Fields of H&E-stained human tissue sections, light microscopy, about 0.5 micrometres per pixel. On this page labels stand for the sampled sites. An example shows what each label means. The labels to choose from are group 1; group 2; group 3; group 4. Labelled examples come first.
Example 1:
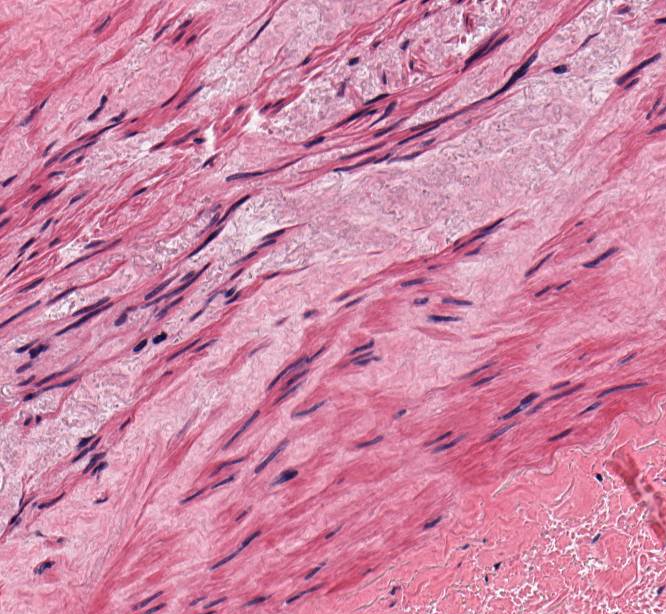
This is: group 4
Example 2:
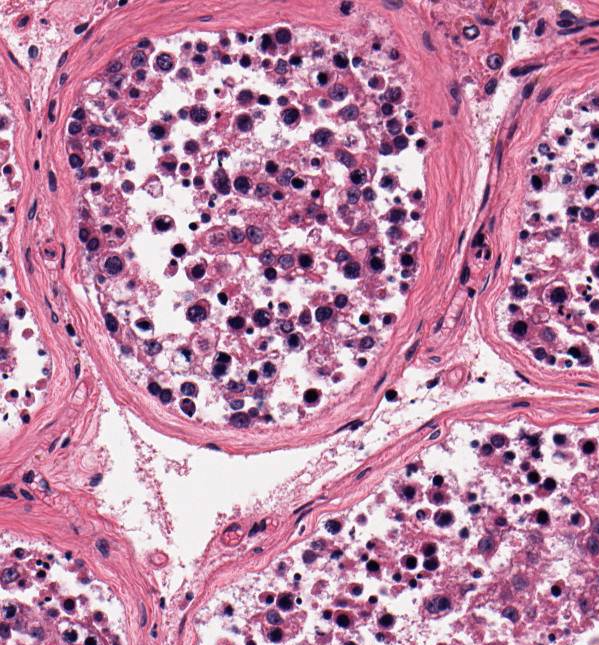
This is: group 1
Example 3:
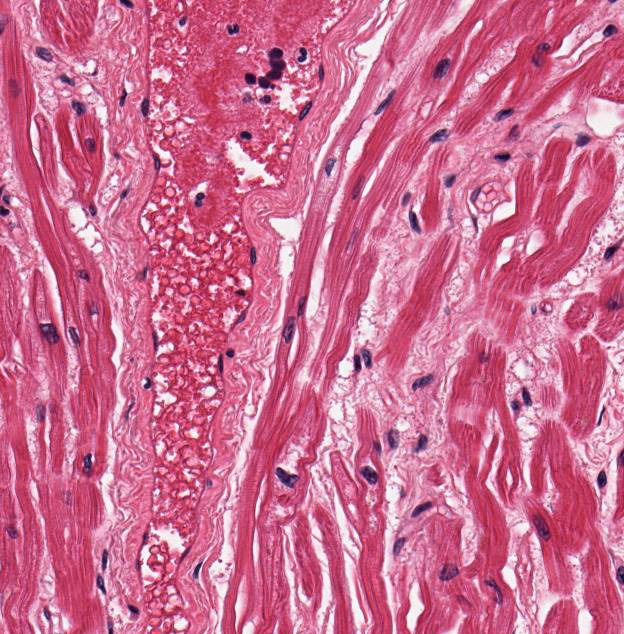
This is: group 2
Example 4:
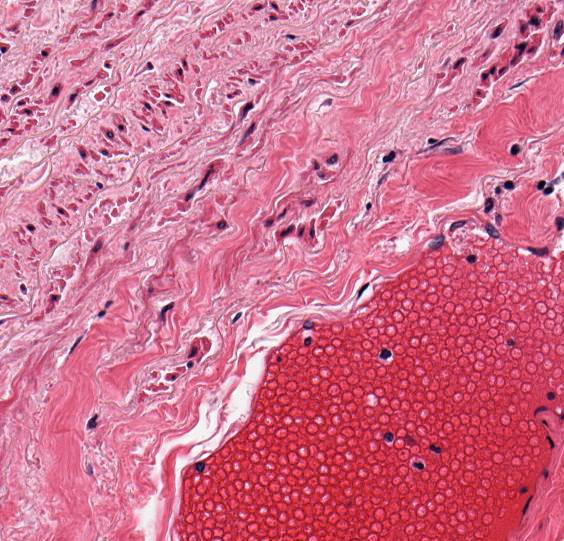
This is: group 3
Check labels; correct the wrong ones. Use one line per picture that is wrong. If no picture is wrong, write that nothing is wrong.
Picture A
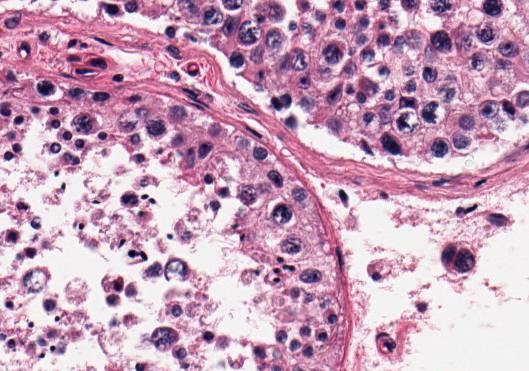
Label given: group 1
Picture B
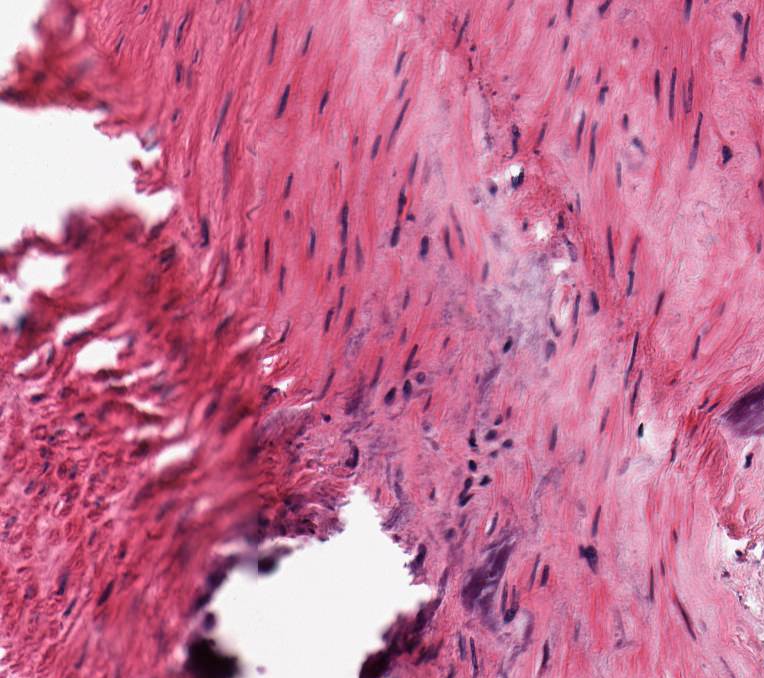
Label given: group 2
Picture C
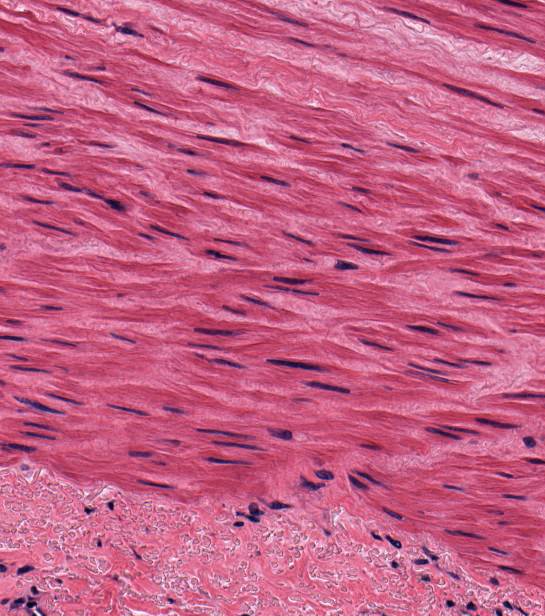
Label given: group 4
B: change group 2 to group 4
